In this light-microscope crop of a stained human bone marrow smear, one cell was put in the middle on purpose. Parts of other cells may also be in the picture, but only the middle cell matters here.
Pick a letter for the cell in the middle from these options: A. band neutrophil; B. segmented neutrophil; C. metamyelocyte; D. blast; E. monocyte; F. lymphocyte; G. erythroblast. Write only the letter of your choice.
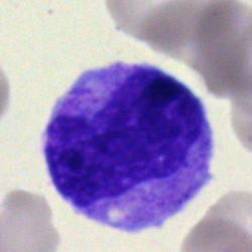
C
